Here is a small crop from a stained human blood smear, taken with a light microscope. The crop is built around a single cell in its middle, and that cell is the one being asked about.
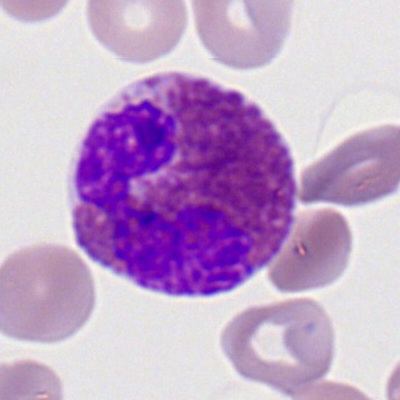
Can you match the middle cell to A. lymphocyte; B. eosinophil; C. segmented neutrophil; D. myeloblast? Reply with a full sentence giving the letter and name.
The cell in the middle is correctly identified as an eosinophil in option B.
